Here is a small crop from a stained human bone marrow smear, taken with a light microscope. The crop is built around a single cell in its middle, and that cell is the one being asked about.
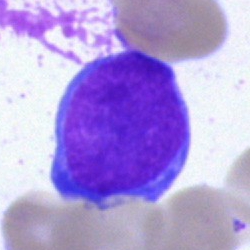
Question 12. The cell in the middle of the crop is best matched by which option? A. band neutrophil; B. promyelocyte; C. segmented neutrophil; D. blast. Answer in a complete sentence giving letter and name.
In the centre of the crop there is a blast, making option D correct.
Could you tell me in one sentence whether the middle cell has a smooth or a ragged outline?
The edge of the cell is unbroken and smooth, bearing no projections.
